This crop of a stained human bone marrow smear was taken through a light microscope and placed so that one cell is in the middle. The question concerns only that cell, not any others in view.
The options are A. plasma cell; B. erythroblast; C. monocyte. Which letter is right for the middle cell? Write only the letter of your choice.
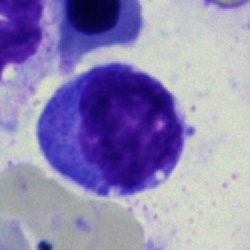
A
